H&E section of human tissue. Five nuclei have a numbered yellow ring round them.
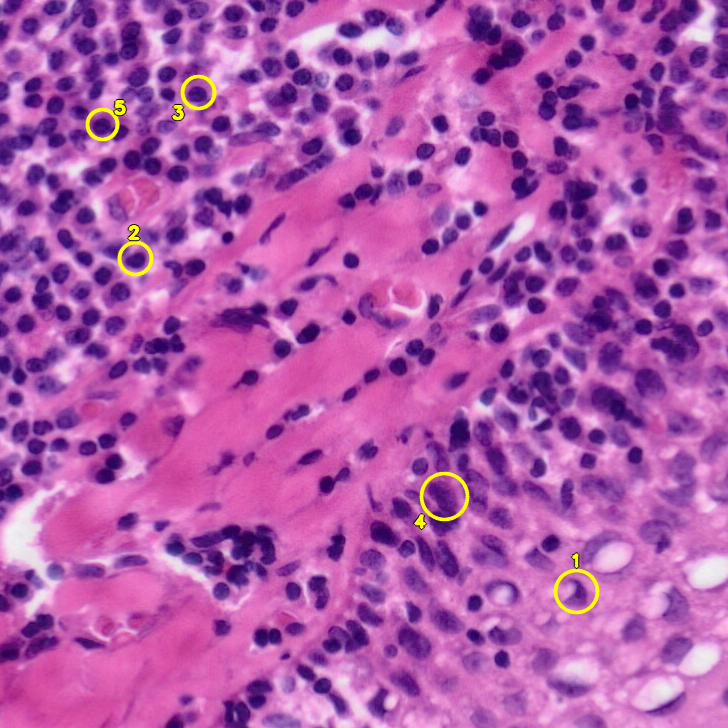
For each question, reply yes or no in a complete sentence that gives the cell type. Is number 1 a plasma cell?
No, the cell carrying number 1 is a squamous epithelial cell rather than a plasma cell.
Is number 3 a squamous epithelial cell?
No, cell number 3 is a plasma cell; it is not a squamous epithelial cell.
